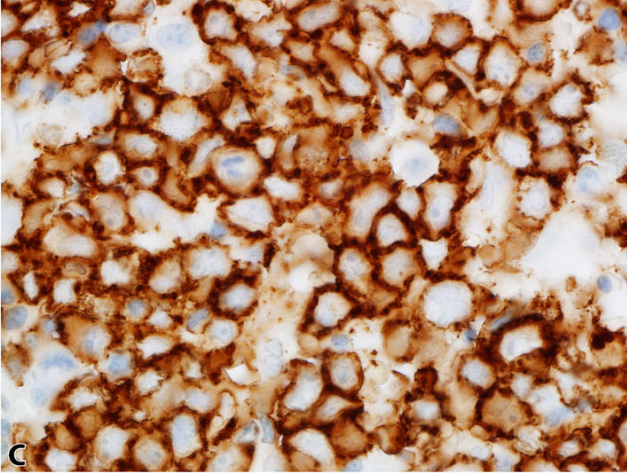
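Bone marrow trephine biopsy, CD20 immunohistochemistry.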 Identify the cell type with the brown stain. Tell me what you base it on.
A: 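Neoplastic B cells. Brown stain rims the outlines of nearly all the large cells. Nuclei inside the brown rims stay pale blue.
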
